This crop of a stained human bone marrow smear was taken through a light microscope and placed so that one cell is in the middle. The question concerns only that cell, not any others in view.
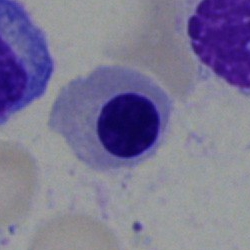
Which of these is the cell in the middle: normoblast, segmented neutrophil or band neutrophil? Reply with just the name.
normoblast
